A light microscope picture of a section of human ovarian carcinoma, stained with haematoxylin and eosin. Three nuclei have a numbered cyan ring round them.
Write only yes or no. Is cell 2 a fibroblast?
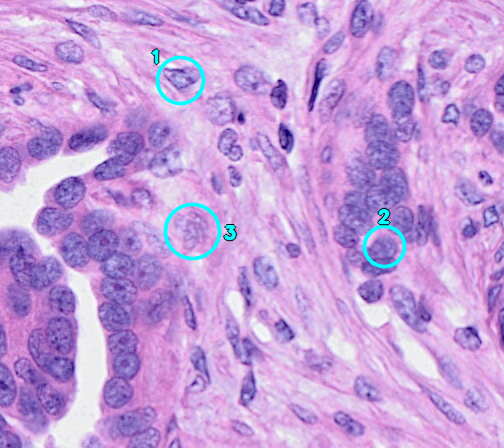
no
